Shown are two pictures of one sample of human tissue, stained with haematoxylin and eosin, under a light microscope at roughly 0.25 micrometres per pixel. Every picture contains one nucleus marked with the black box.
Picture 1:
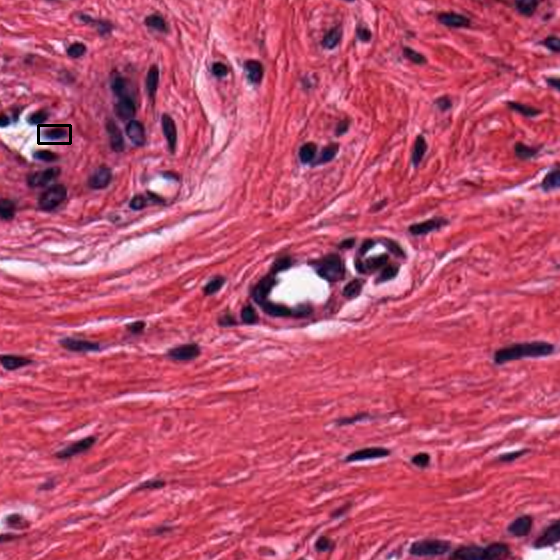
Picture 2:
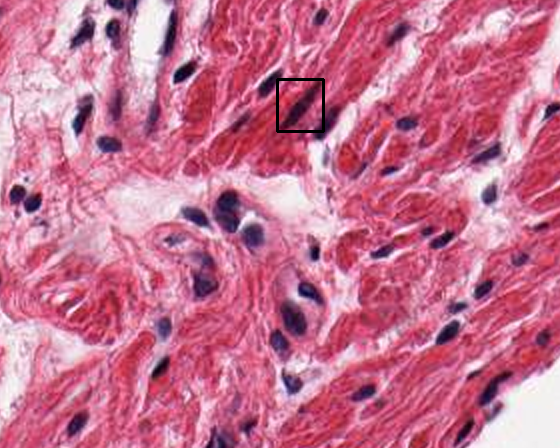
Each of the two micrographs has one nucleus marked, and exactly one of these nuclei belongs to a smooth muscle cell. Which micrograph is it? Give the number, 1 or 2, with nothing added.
2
